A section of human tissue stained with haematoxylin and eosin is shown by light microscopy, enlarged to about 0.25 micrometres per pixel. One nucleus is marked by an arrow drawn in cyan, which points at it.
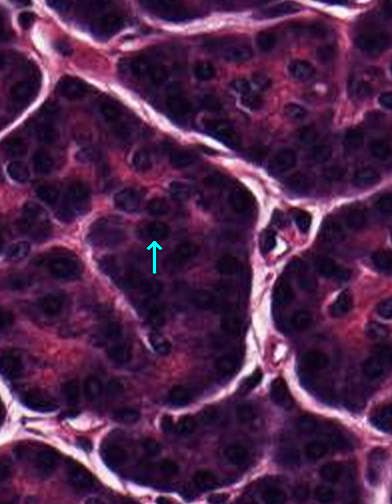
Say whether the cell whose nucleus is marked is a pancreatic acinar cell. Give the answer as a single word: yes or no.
yes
